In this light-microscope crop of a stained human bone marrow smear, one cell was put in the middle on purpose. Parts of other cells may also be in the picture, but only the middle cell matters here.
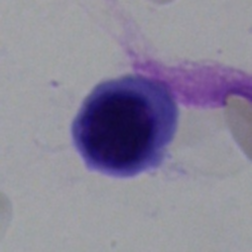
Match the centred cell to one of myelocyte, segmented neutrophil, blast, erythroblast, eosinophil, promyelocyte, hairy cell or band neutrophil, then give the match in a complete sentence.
The cell featured at the centre of this crop is an erythroblast.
